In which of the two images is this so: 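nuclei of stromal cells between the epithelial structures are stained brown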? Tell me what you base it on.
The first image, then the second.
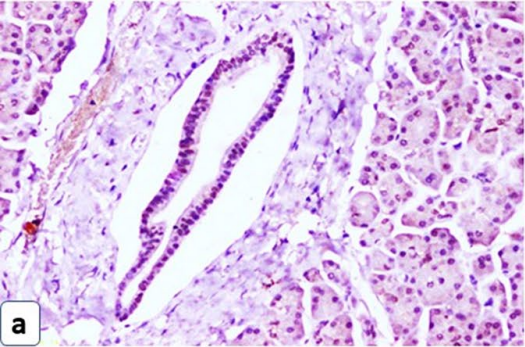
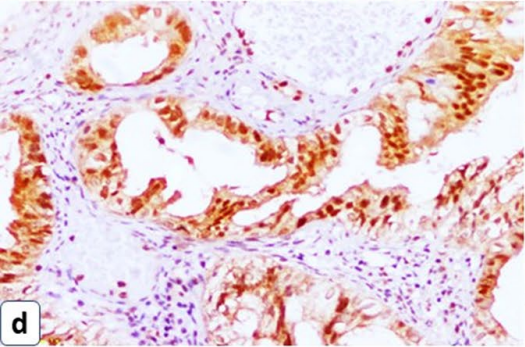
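Second image: scattered brown nuclei are present in the connective tissue between the glands. First image: the connective tissue around the duct has only blue-purple nuclei, with no brown. The answer: the second image.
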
